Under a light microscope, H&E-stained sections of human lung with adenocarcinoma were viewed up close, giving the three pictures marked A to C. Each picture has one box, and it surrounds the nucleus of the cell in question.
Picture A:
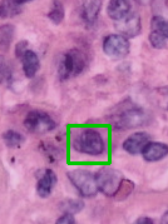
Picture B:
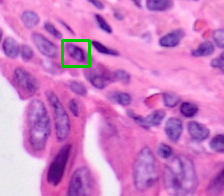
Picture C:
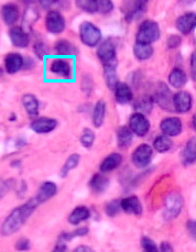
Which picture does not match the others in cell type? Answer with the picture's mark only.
C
